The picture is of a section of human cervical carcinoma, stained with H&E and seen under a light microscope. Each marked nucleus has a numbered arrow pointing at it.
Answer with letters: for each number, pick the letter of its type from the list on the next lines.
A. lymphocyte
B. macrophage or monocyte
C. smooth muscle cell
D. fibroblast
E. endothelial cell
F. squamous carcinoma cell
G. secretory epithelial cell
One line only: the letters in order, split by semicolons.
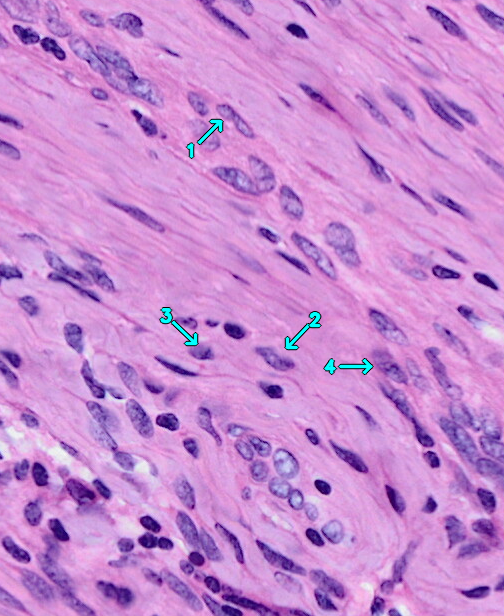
C; D; D; C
